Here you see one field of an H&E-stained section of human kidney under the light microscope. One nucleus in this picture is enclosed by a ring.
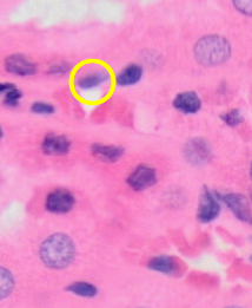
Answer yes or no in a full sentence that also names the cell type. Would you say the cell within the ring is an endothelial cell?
Yes, the cell within the ring qualifies as an endothelial cell in this section.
